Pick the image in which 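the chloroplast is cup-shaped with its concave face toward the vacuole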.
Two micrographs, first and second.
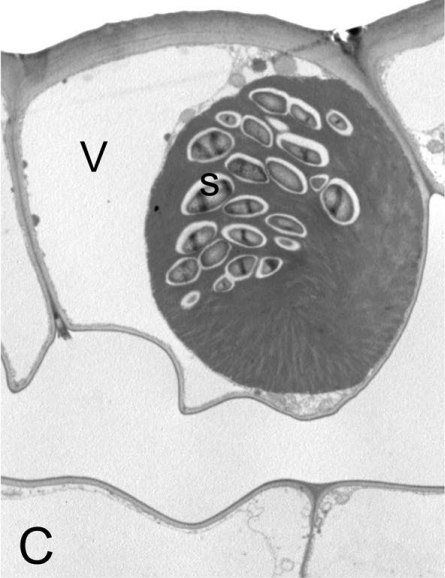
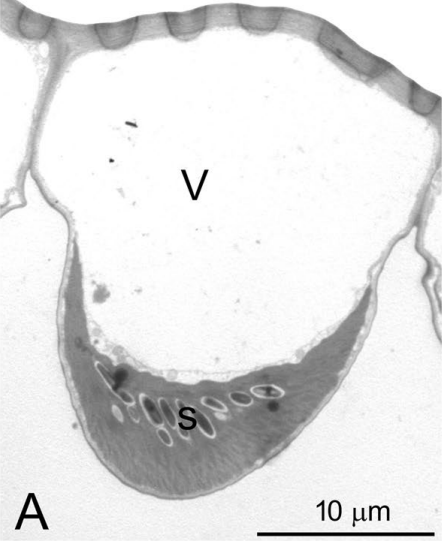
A: The second image.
